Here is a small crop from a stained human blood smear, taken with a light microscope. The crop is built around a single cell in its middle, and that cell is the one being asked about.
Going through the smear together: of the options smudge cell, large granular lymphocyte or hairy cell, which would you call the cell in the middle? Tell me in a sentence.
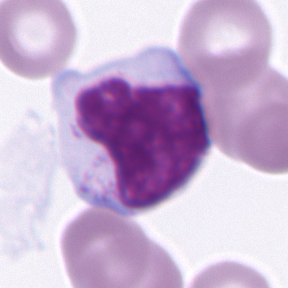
The middle of this crop holds a large granular lymphocyte.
